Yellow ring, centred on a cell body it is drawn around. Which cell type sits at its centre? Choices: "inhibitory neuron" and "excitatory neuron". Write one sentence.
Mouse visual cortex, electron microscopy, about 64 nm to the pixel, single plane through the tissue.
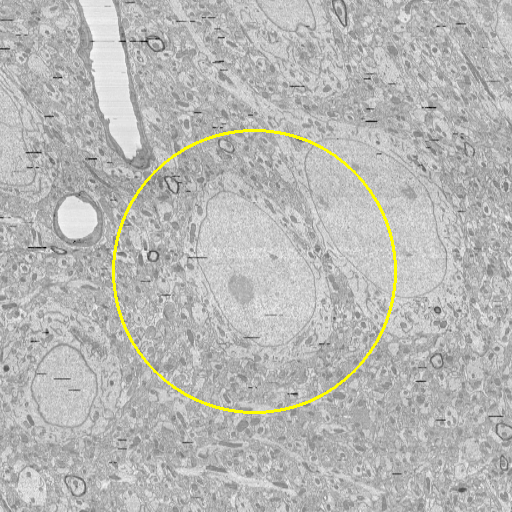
At the centre of the ring sits an excitatory neuron.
